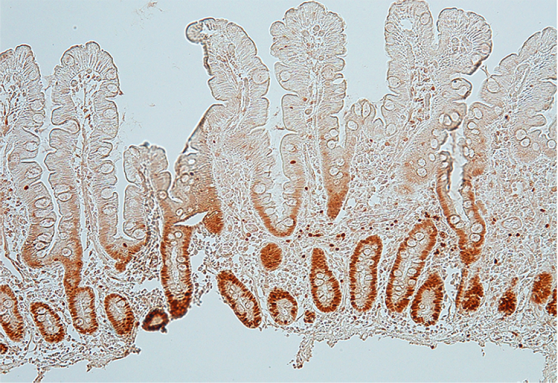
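This is a section of mucosa with tall, slender finger-like projections above a row of crypts. The crypts are mostly cut across as round or oval rings of columnar epithelial cells around a small lumen. Strong brown staining is confined largely to the crypt epithelium at the base, while the projections are pale with only a faint brownish tint. Pale round vacuoles are scattered within the epithelium of the projections. Loose connective tissue between the crypts contains a few small darkly stained cells.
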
